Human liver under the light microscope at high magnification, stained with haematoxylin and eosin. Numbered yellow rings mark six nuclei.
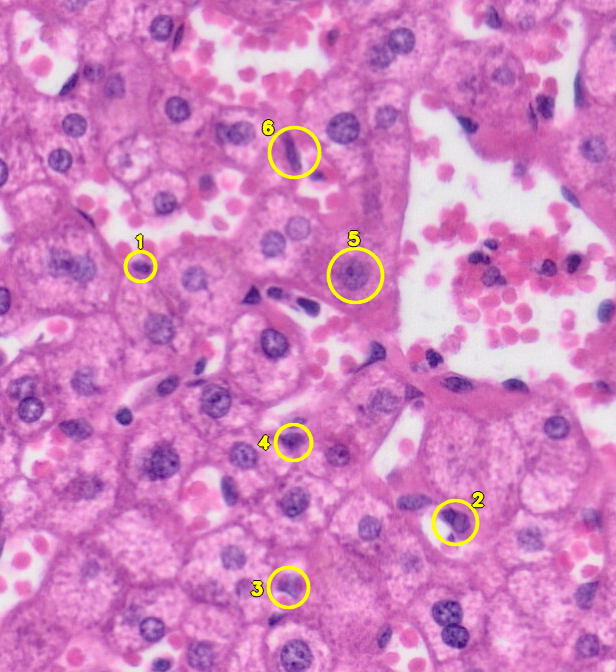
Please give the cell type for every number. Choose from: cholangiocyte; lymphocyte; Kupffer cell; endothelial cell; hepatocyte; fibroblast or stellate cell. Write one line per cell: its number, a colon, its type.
1: fibroblast or stellate cell
2: Kupffer cell
3: endothelial cell
4: fibroblast or stellate cell
5: hepatocyte
6: Kupffer cell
